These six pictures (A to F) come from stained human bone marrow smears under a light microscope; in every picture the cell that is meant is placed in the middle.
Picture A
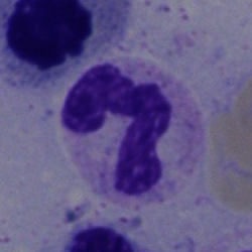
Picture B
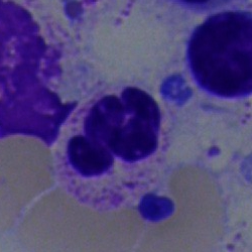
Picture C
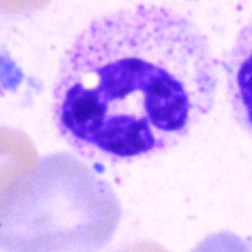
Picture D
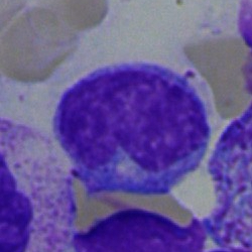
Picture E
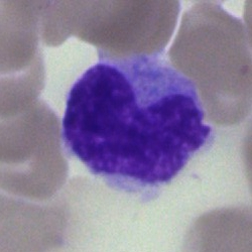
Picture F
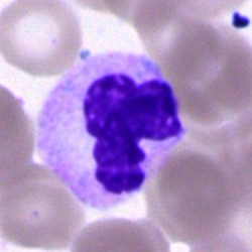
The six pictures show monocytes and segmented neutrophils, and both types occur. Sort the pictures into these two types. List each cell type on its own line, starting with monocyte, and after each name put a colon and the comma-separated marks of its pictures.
monocyte: D, E
segmented neutrophil: A, B, C, F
